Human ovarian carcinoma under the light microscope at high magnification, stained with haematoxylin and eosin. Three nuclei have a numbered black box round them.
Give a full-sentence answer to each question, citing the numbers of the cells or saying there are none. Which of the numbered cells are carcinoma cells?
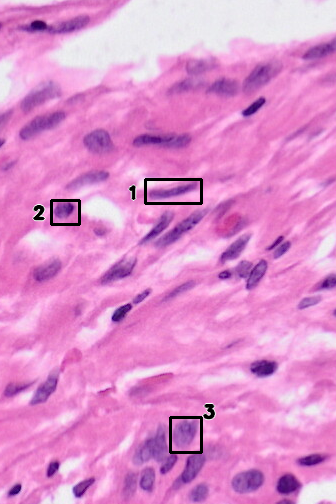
Cell number 3 alone is a carcinoma cell; the rest are not.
